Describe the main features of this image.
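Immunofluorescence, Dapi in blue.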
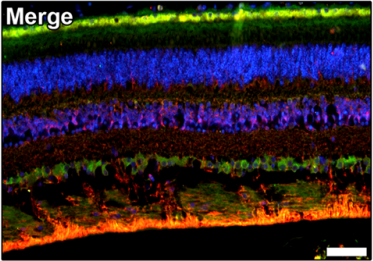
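A cross-section of the retina shows blue nuclei arranged in a thick outer nuclear layer, an inner nuclear layer and a thin ganglion cell layer. Red radial processes of Müller cells cross the inner layers and widen into a bright orange-yellow band of endfeet along the inner retinal surface.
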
